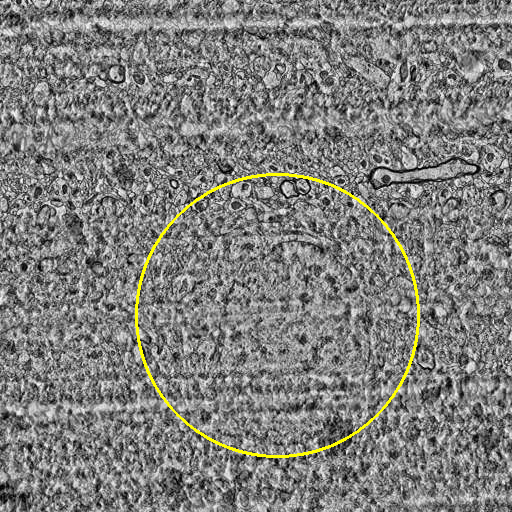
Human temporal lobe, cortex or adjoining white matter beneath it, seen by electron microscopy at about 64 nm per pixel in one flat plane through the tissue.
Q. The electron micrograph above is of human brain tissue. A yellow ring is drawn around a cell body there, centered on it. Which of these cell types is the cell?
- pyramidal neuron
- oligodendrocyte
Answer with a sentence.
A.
The cell under the ring's center is a pyramidal neuron.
